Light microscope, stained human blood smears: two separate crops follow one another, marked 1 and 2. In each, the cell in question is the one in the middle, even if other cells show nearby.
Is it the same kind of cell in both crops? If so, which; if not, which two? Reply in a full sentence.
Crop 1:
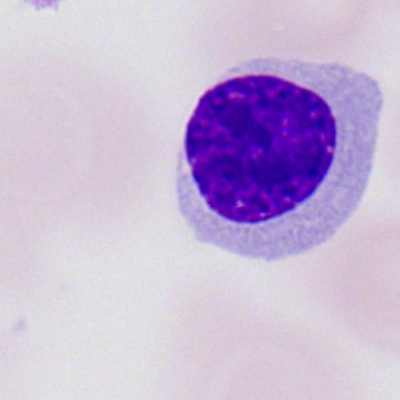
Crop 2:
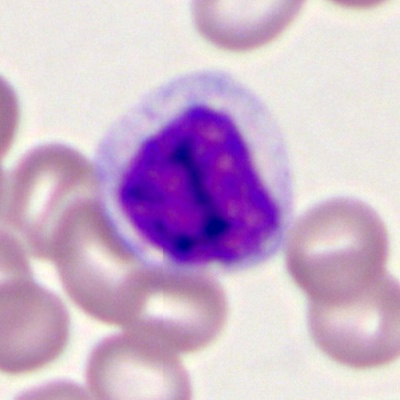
Yes, both crops show lymphocytes, and that holds for each one.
